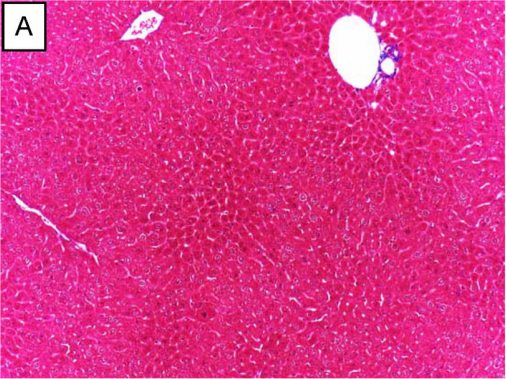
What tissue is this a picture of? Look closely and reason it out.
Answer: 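Liver. Cords of polygonal cells with round central nuclei fill the field. Narrow pale sinusoid-like spaces run between the cords. Occasional round open vessels lie in the parenchyma.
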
